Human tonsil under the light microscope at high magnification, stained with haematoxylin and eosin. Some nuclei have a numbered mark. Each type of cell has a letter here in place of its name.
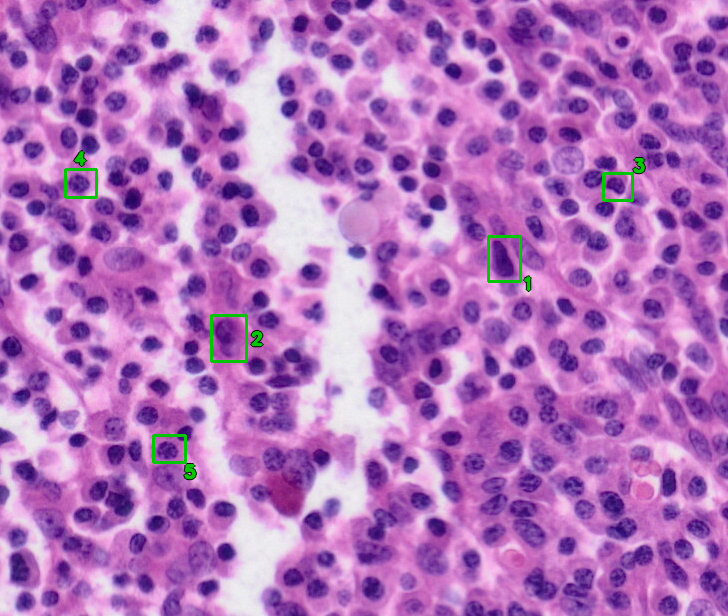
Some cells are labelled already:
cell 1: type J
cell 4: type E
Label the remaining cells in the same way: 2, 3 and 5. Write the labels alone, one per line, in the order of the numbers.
type J
type E
type E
